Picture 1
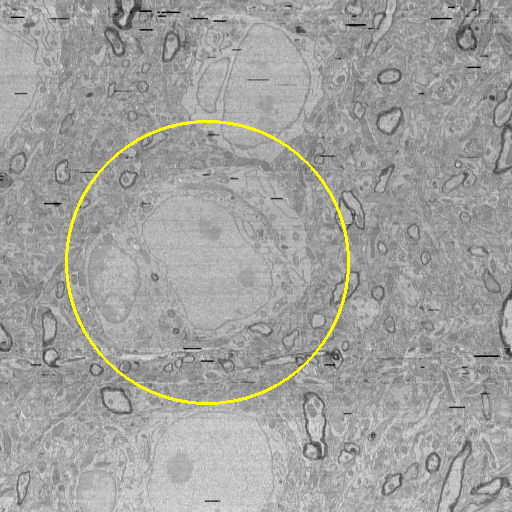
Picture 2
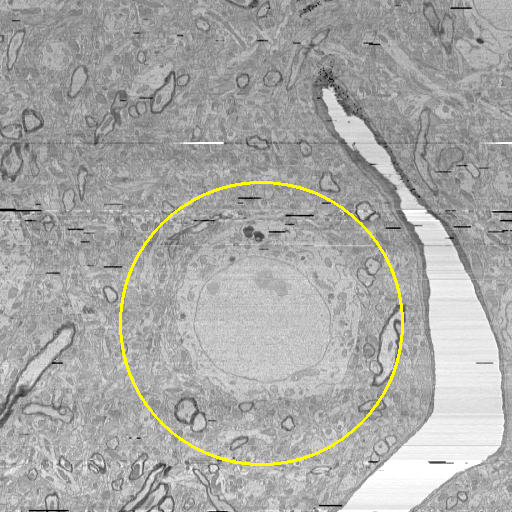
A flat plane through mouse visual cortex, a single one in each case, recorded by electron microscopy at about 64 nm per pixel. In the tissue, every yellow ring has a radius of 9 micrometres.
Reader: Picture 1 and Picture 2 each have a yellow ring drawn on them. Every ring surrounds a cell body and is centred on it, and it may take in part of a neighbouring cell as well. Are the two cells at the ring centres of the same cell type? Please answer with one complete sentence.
Yes, both cells are of the same cell type.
